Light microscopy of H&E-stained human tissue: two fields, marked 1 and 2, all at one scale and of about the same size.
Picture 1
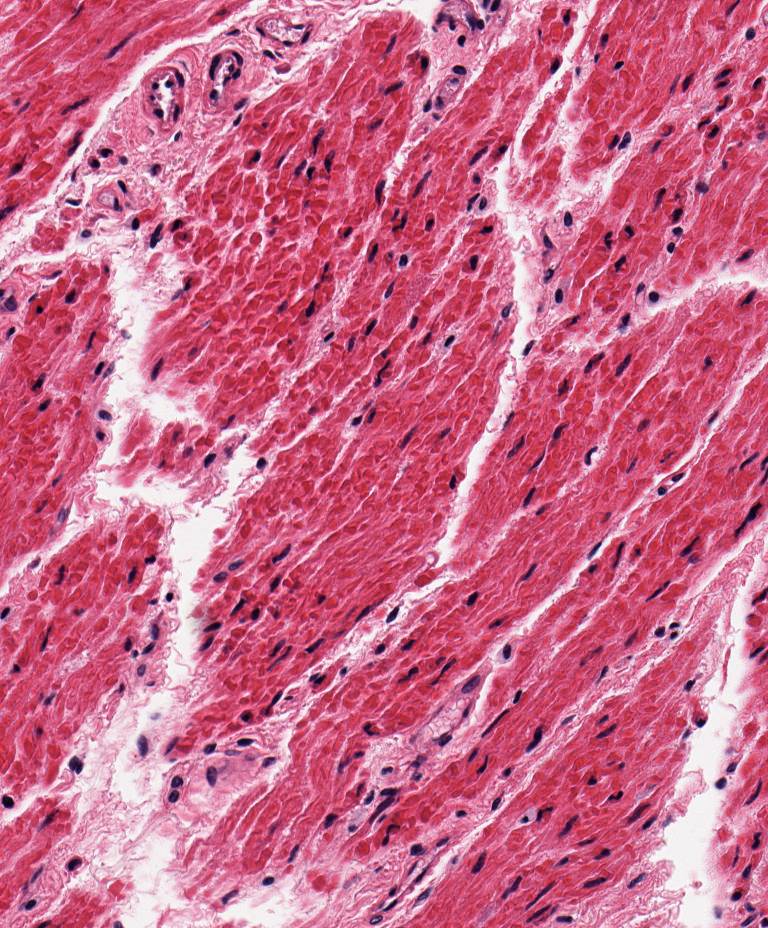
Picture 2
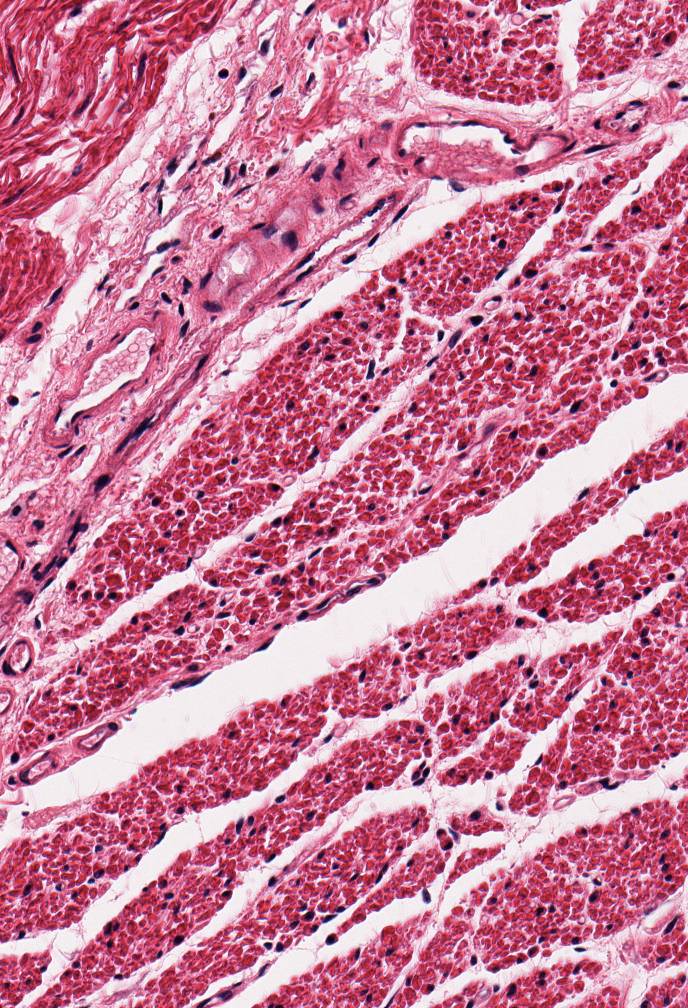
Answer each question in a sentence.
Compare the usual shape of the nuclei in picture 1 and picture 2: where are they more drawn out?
It is picture 1 whose nuclei are the more elongated.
